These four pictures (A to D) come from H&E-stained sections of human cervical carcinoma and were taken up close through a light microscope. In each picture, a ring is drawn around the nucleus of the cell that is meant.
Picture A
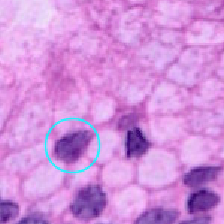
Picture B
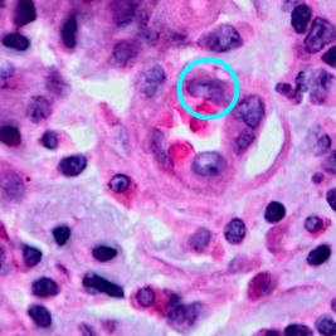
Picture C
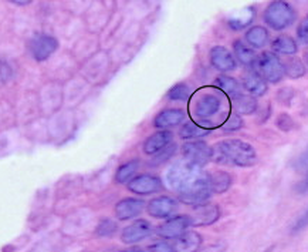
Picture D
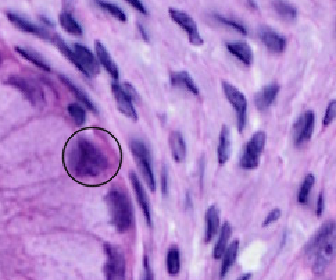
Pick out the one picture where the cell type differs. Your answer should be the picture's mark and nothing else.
B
